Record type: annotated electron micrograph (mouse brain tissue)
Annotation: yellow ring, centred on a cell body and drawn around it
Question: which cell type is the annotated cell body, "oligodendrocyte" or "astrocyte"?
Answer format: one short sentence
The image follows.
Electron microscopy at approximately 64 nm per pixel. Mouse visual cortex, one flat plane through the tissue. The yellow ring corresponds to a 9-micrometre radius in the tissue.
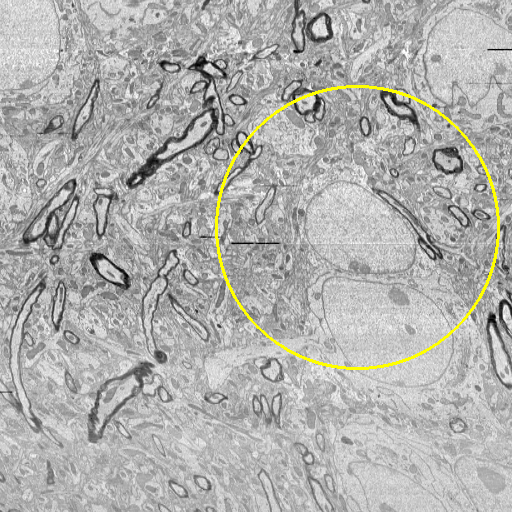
The annotated cell body is that of an astrocyte.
